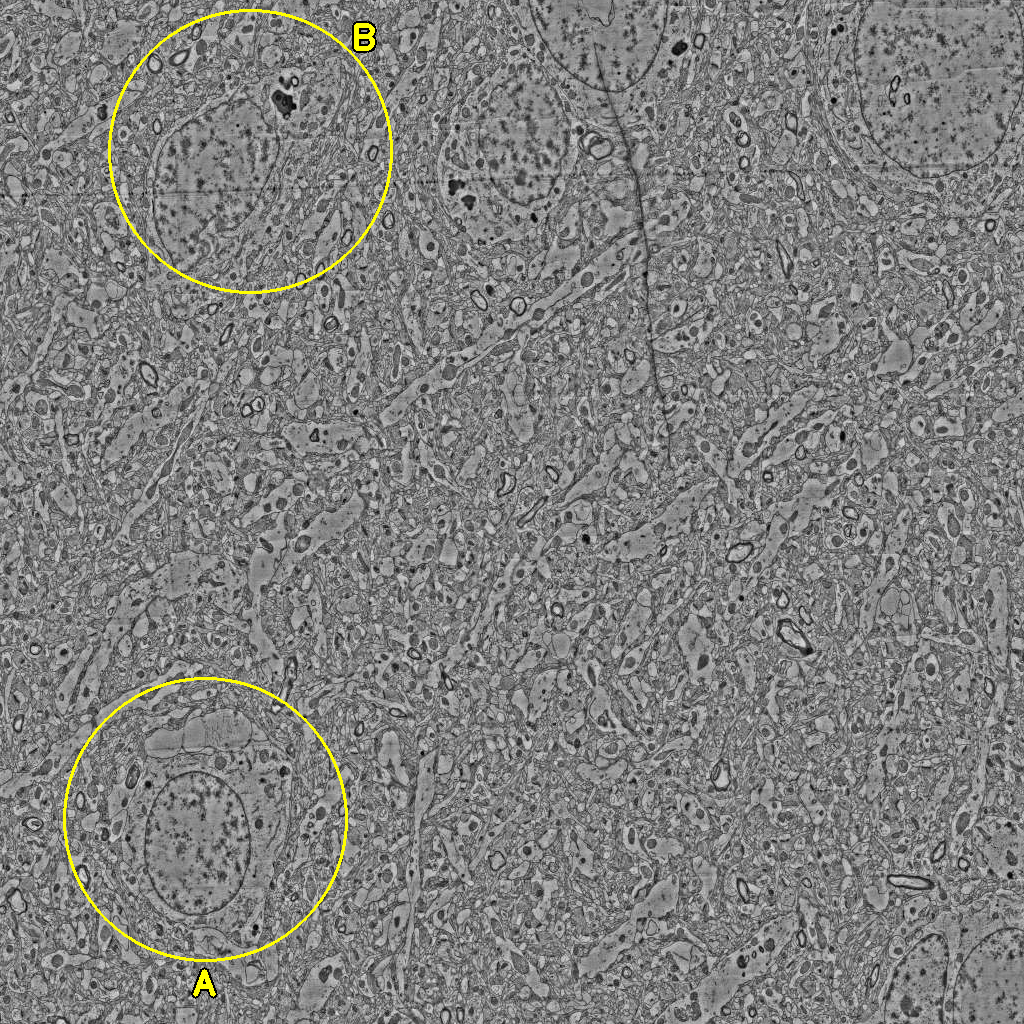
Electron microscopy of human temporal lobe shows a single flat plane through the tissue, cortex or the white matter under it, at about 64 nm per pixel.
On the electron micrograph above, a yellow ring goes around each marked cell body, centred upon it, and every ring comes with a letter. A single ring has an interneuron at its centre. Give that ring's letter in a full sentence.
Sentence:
The ring holding the cell asked for at its centre bears the letter B.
